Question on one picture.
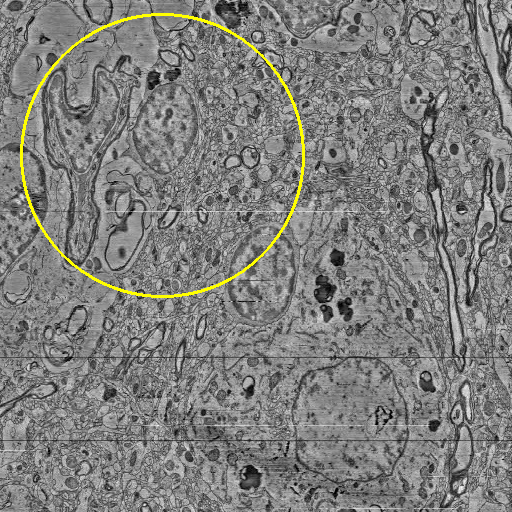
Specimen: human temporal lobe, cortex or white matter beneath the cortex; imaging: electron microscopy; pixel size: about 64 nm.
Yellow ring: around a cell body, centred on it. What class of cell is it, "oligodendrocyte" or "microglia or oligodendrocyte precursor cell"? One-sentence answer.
This is an oligodendrocyte, the cell the ring is centred on.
